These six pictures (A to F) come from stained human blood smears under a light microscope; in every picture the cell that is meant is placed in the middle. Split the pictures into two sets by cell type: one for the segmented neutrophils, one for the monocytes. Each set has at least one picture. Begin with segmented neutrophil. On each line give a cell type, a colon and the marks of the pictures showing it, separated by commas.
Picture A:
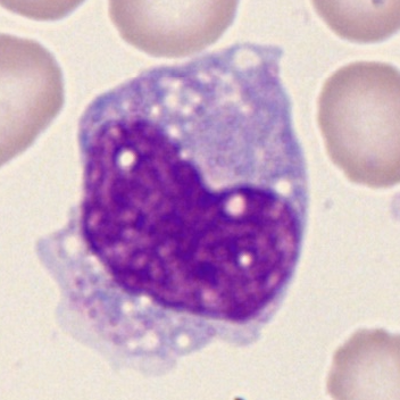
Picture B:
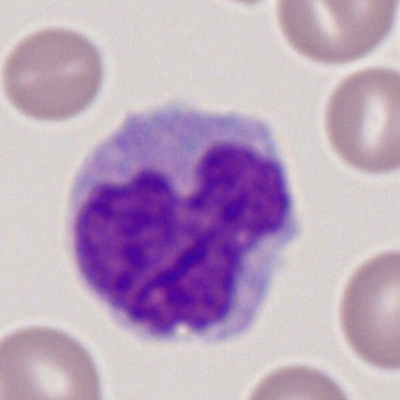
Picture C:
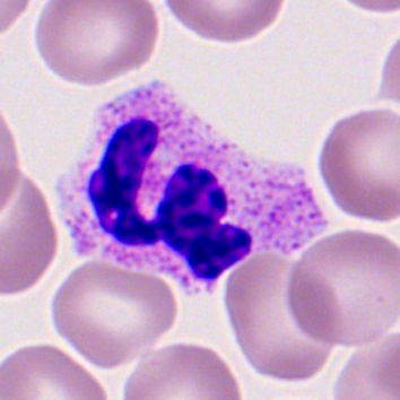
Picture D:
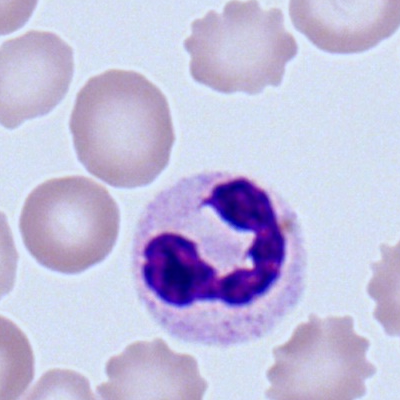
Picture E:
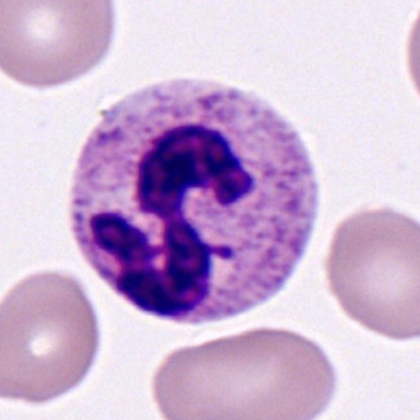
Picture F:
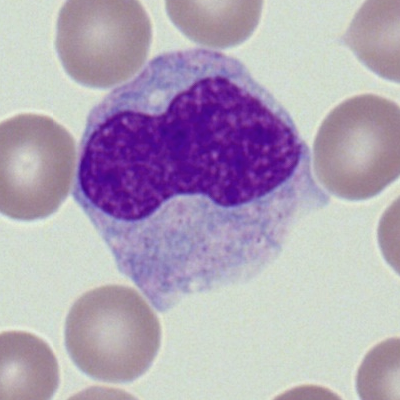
segmented neutrophil: C, D, E
monocyte: A, B, F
